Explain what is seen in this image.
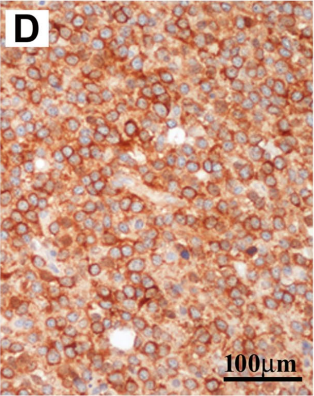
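A sheet of closely packed tumor cells shows brown staining that fills the cytoplasm and outlines each cell. The result is a honeycomb-like pattern of brown cell bodies around pale blue nuclei throughout the field. This is cytoplasmic staining without nuclear staining in the tumor cells.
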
